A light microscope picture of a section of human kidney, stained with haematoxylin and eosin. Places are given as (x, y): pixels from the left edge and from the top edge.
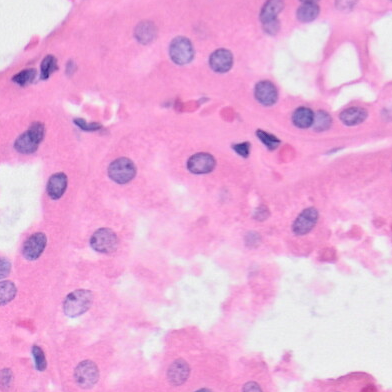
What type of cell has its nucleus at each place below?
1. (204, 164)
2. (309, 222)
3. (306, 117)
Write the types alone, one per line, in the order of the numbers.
proximal tubule cell
proximal tubule cell
loop of Henle or distal tubule cell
